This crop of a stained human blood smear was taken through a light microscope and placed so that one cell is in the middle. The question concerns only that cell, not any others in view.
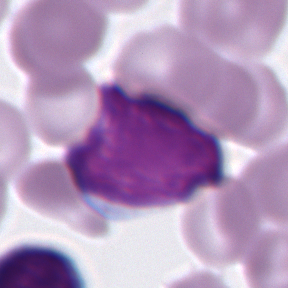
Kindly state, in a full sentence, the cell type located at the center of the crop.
The crop shows a typical lymphocyte in its centre.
